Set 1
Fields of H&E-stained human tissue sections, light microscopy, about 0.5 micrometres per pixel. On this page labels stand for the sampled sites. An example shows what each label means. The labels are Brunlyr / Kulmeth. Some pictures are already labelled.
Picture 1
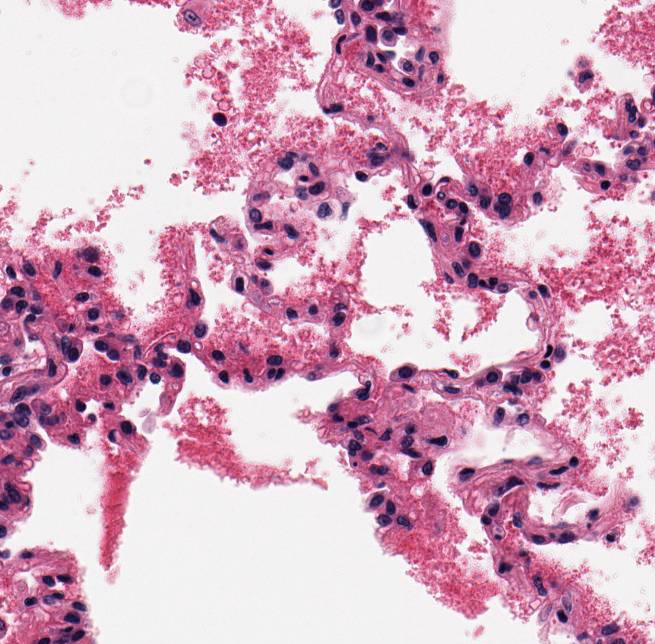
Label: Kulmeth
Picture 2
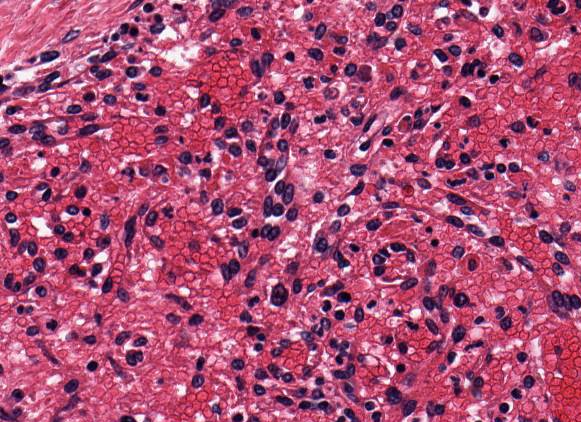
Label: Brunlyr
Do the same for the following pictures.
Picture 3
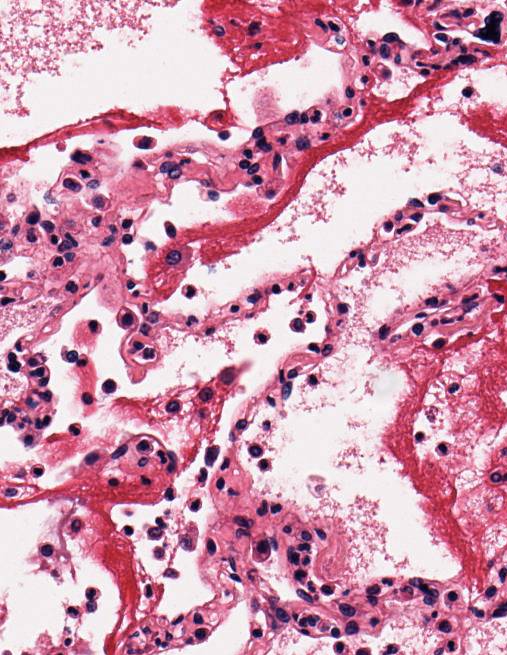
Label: Kulmeth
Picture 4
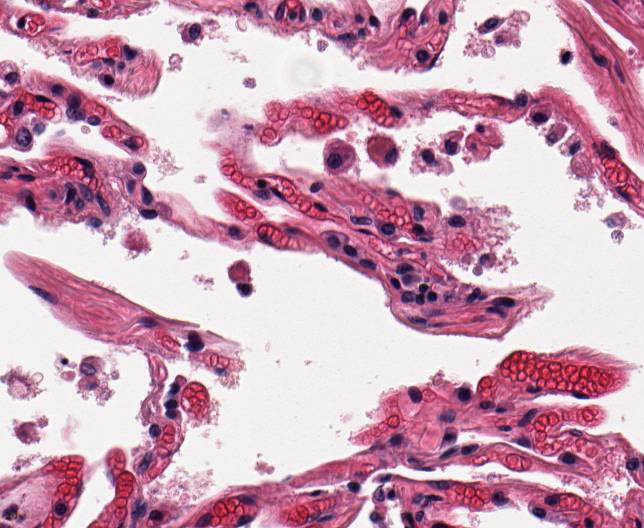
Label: Kulmeth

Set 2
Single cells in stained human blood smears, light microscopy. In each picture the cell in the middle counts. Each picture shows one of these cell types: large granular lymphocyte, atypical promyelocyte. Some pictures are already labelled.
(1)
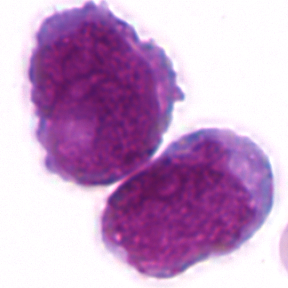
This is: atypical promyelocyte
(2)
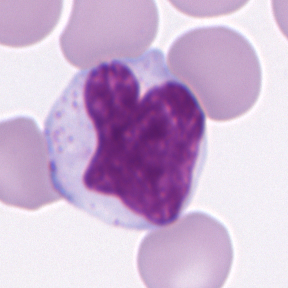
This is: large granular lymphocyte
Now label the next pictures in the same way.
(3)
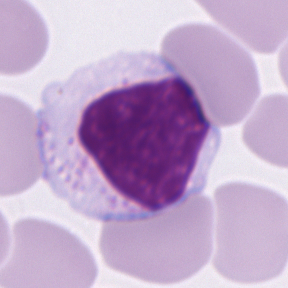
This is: large granular lymphocyte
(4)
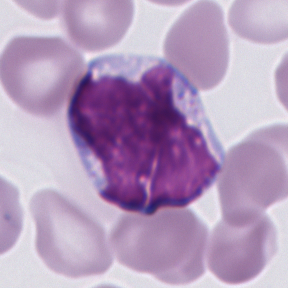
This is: large granular lymphocyte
